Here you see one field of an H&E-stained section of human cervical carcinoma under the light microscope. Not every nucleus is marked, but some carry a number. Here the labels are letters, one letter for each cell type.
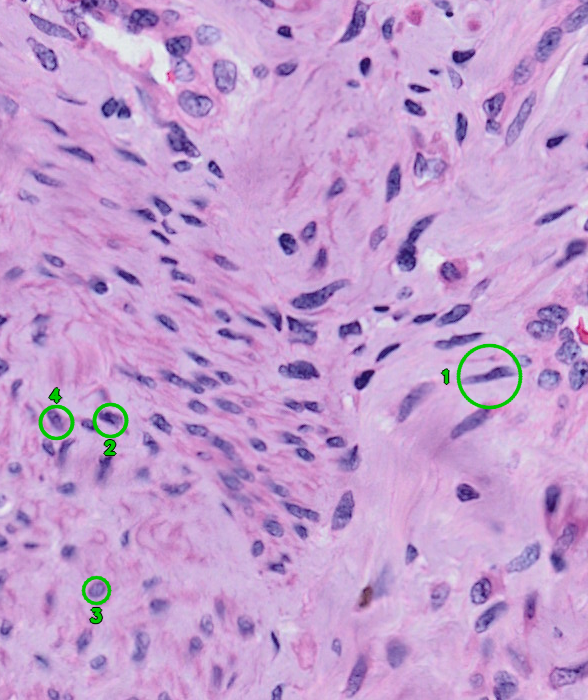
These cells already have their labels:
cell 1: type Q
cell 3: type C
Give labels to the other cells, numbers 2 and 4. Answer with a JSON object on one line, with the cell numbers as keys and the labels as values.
{"2": "type C", "4": "type C"}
